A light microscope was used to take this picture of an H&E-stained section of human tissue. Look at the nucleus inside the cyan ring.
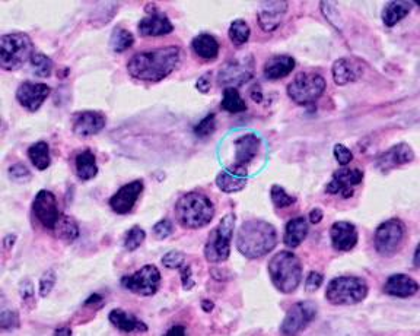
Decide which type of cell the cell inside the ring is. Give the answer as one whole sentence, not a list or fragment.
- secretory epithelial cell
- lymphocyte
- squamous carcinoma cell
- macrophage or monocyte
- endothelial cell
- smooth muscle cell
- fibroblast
By its classification, the cell inside the ring is a lymphocyte.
